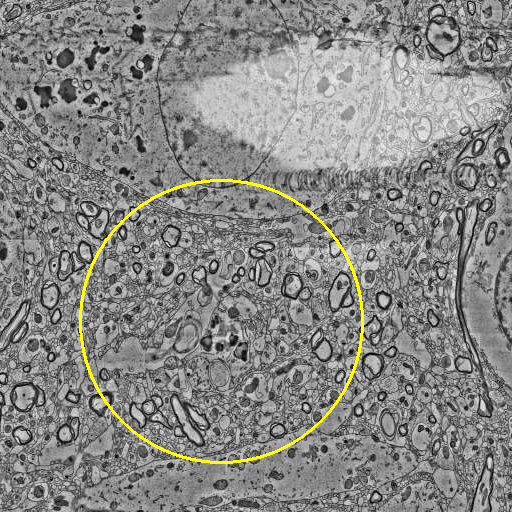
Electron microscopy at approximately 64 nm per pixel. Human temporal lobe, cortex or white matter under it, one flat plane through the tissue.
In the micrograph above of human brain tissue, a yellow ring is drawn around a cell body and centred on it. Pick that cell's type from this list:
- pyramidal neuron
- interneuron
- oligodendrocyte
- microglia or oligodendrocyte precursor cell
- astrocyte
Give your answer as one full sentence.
Going by the list, a microglial cell or oligodendrocyte precursor cell is the cell on which the yellow ring is centred.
